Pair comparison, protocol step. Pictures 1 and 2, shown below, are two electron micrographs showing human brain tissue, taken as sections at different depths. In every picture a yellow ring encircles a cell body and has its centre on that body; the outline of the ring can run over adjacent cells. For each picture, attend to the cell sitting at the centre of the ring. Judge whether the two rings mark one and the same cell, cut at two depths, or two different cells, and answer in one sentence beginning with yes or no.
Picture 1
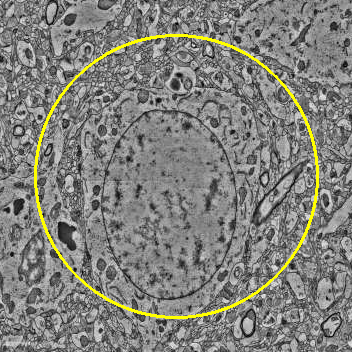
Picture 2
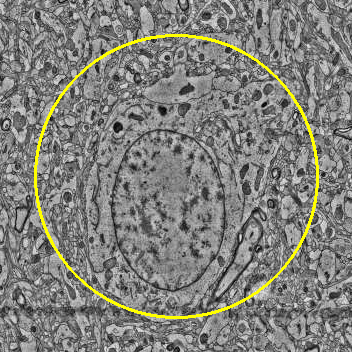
Yes, the two yellow circles hold the same cell.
